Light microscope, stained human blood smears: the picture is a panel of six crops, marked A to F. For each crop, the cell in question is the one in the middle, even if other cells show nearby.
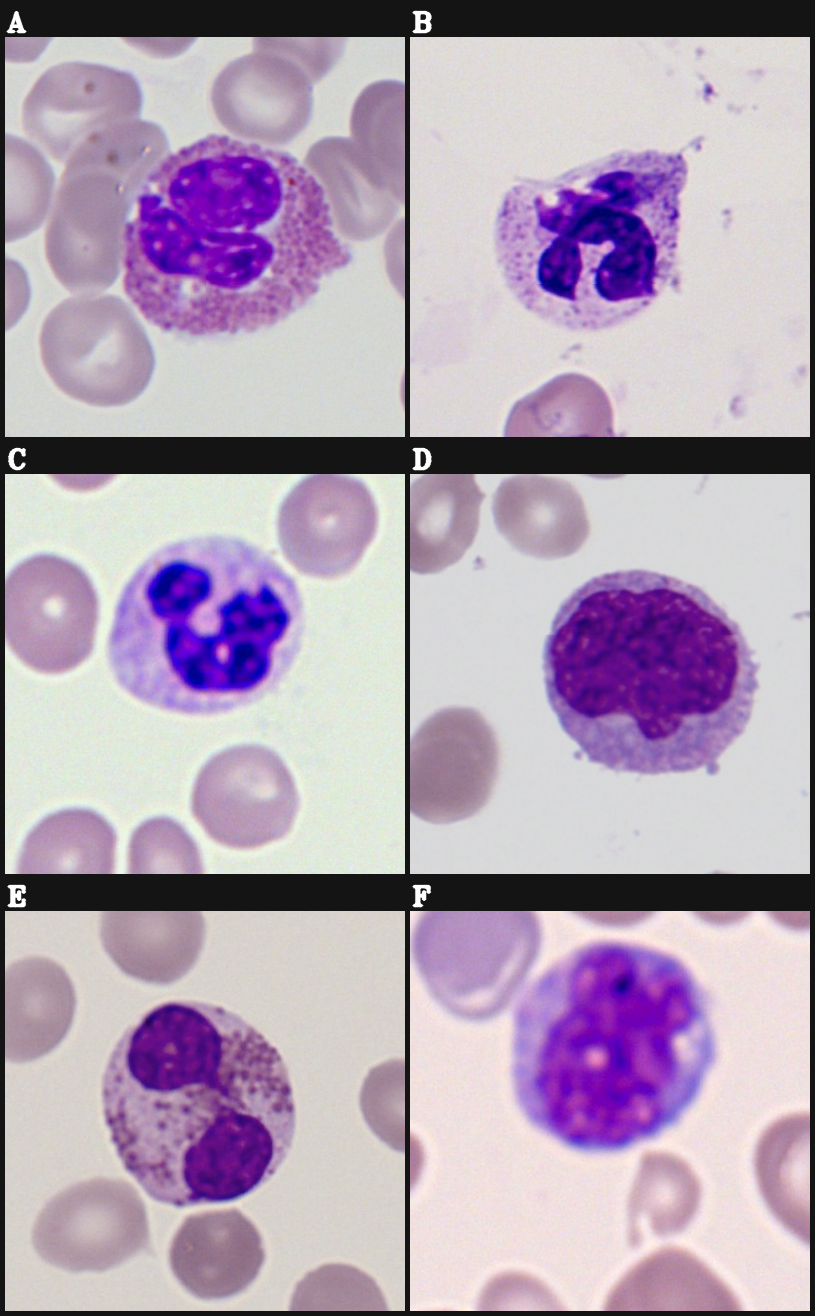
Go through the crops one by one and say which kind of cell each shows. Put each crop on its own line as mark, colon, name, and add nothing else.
A: eosinophil
B: segmented neutrophil
C: segmented neutrophil
D: monocyte
E: eosinophil
F: monocyte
